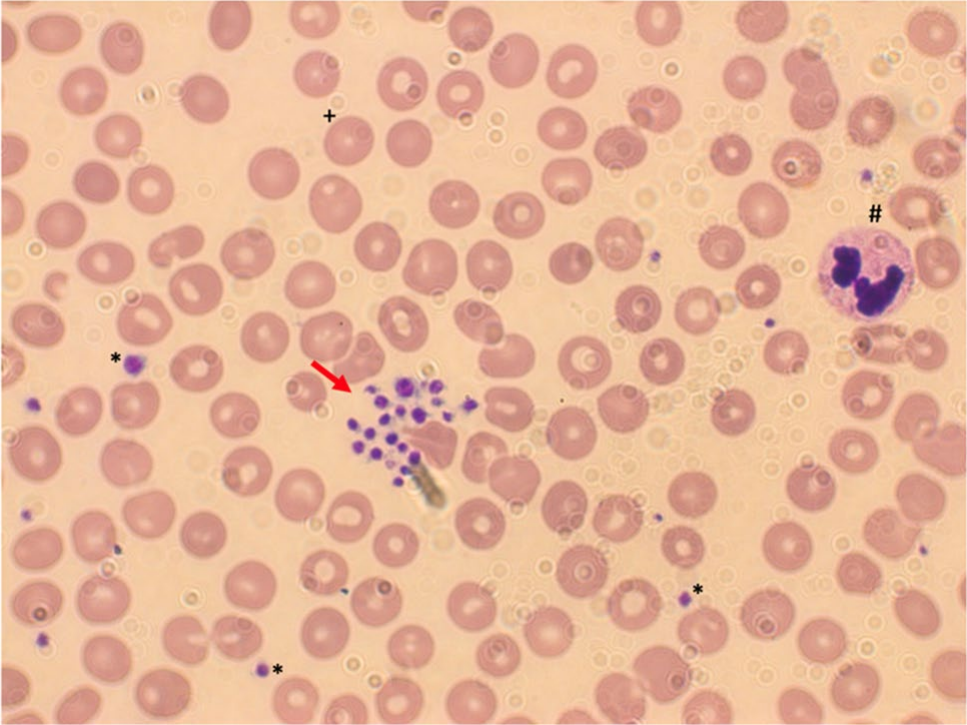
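This peripheral blood smear is dominated by round, pink red blood cells without nuclei, many with a pale centre. Near the middle, small purple platelets are clumped into an aggregate, while other platelets lie singly scattered between the red cells. At the upper right is a larger neutrophile with a dark purple, lobed nucleus and pale cytoplasm.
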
